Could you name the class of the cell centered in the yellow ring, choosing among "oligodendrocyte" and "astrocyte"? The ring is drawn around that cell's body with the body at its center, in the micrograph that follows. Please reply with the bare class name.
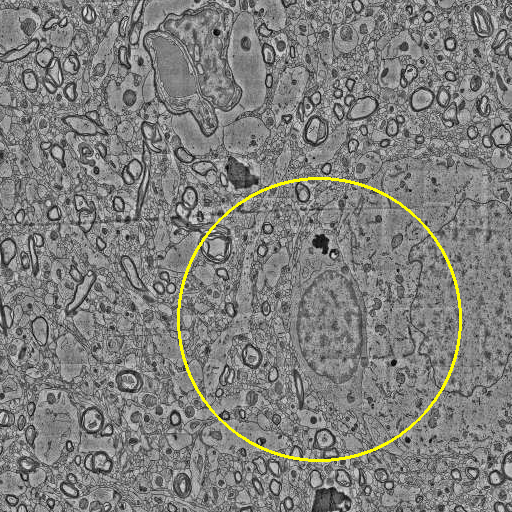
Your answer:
oligodendrocyte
